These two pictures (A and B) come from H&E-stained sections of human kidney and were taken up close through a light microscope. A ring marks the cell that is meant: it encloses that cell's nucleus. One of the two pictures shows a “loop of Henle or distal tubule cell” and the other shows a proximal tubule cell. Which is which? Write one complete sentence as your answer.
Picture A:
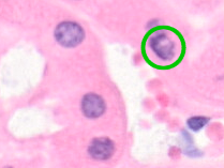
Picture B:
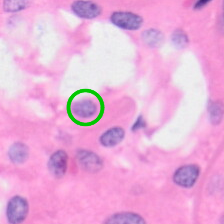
Picture B shows a “loop of Henle or distal tubule cell”, while picture A shows a proximal tubule cell.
